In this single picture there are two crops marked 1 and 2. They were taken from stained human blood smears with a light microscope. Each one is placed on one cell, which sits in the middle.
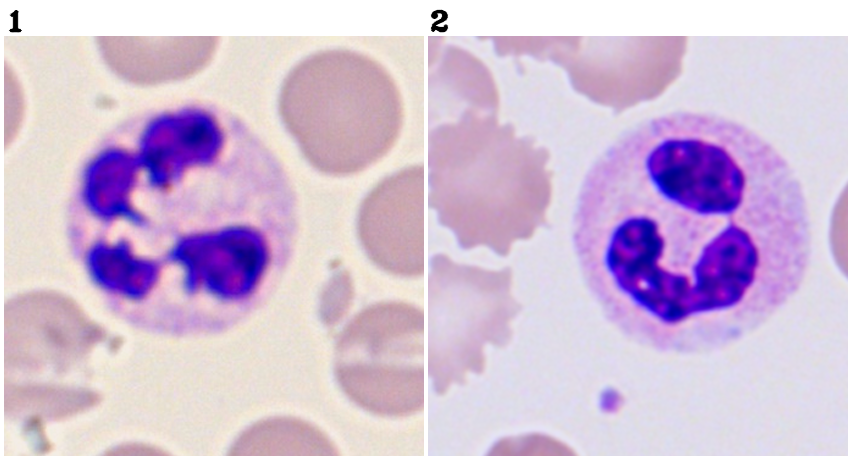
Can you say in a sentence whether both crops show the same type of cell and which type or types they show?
Yes, the cells under consideration in both crops are neutrophils.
